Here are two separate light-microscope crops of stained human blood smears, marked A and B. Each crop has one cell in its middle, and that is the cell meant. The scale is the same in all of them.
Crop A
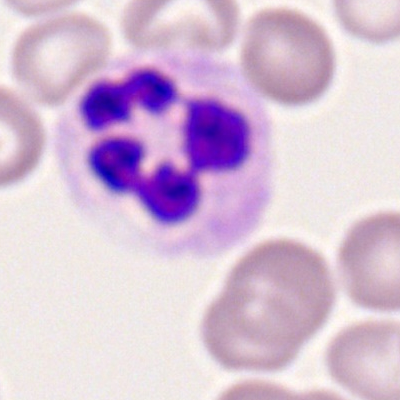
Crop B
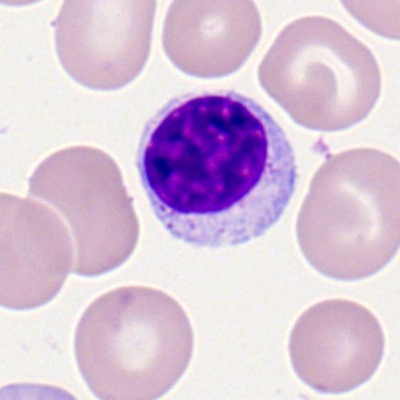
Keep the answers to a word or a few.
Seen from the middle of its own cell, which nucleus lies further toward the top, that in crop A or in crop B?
B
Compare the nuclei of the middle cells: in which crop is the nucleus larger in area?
B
